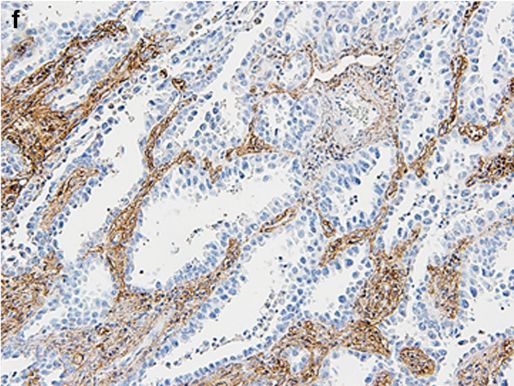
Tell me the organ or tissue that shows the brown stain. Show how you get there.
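Brown stain fills thin cores between the cell-lined spaces. The cells lining the spaces have blue nuclei and unstained cytoplasm.
Conclusion: tumor stroma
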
